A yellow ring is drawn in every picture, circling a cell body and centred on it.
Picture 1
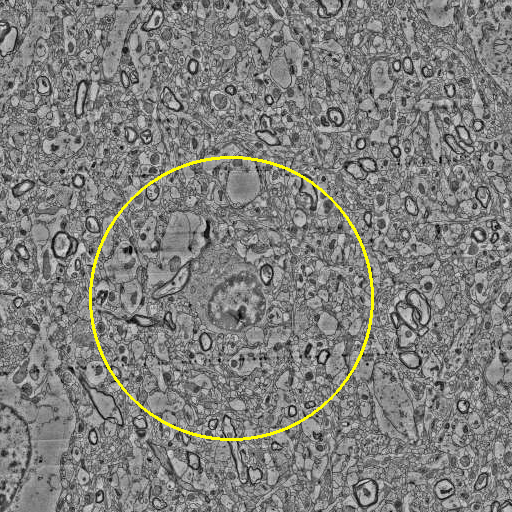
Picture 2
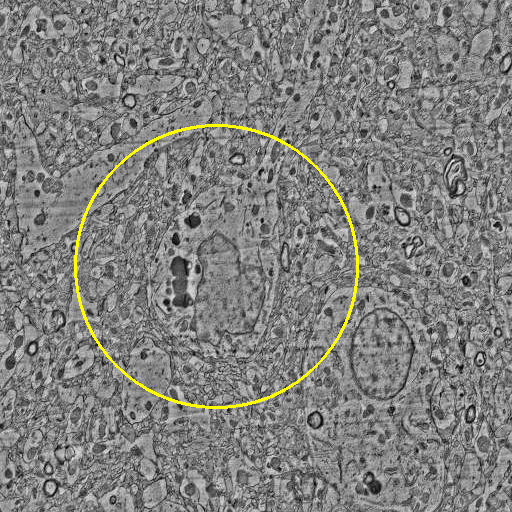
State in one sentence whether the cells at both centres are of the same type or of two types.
The cells at the two ring centres, one per picture, are of two types.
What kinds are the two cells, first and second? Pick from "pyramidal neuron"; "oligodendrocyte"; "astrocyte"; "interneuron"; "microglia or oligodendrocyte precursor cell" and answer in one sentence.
The second picture holds an interneuron in its ring, and the first holds an oligodendrocyte.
